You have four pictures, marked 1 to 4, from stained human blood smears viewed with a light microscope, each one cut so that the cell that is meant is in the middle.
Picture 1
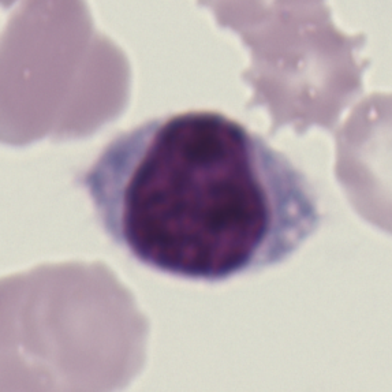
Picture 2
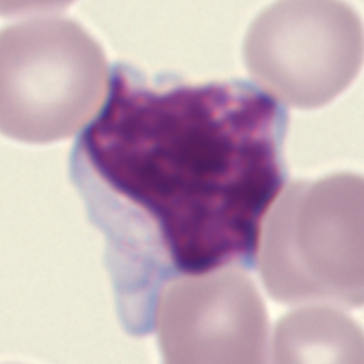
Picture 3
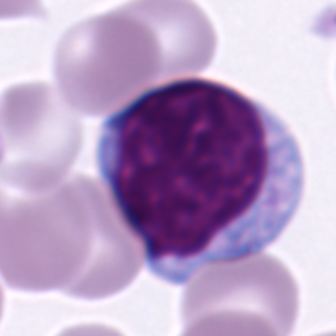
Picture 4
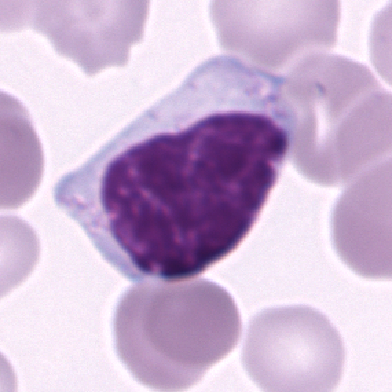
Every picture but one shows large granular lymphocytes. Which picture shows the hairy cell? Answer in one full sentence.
Picture 1 is the one that shows the hairy cell.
